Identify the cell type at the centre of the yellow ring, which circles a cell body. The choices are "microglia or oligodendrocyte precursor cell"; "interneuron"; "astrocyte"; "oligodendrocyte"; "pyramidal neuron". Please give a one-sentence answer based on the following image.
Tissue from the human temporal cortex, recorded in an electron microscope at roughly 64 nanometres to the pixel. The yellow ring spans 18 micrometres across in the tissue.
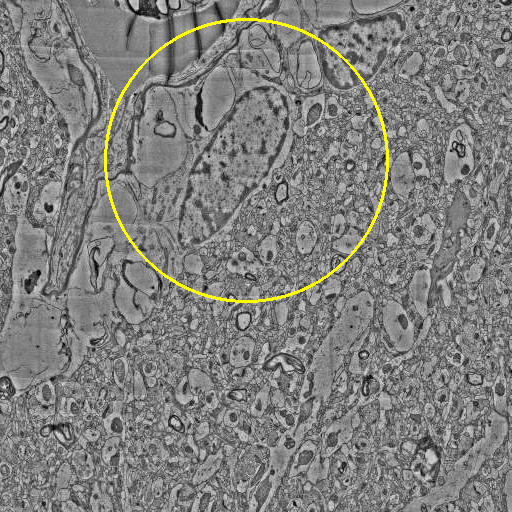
The cell marked by the ring is a microglial cell or oligodendrocyte precursor cell.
